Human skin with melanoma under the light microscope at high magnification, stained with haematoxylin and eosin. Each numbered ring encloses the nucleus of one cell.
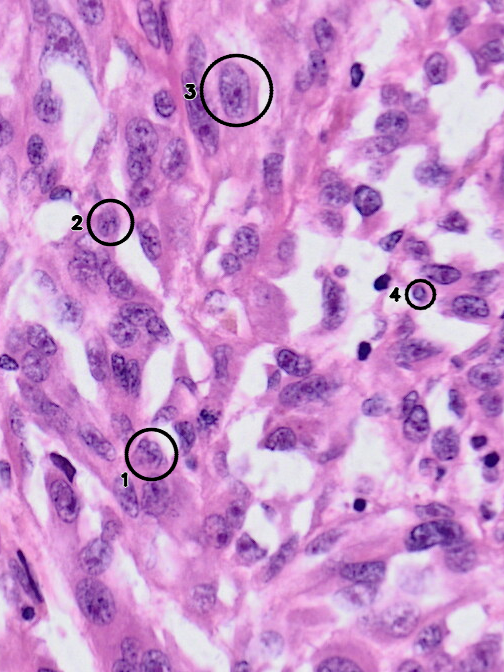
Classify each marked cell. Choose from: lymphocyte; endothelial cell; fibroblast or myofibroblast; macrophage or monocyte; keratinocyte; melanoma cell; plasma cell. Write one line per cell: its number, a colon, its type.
1: melanoma cell
2: melanoma cell
3: melanoma cell
4: lymphocyte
